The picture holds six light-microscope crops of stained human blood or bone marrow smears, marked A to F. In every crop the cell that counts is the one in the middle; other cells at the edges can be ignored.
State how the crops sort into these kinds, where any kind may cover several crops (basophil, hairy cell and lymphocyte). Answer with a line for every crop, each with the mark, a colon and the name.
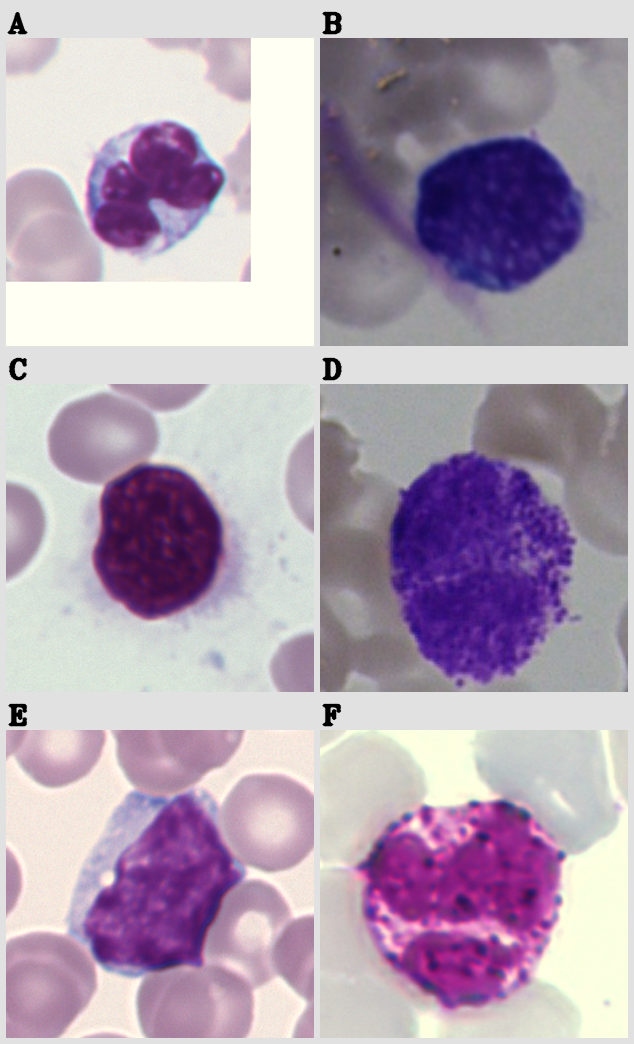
A: lymphocyte
B: lymphocyte
C: hairy cell
D: basophil
E: lymphocyte
F: basophil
